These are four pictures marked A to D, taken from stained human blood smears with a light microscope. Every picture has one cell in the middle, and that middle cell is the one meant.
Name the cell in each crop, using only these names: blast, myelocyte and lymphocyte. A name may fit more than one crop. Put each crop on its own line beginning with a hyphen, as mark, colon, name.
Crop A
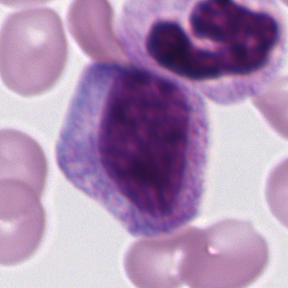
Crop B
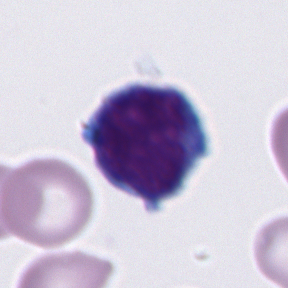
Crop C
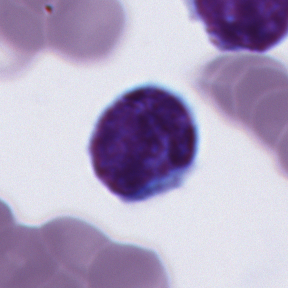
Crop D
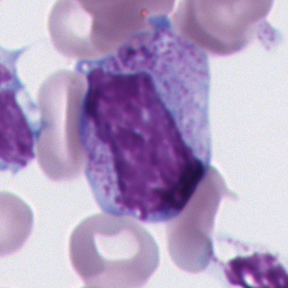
- A: myelocyte
- B: lymphocyte
- C: lymphocyte
- D: myelocyte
